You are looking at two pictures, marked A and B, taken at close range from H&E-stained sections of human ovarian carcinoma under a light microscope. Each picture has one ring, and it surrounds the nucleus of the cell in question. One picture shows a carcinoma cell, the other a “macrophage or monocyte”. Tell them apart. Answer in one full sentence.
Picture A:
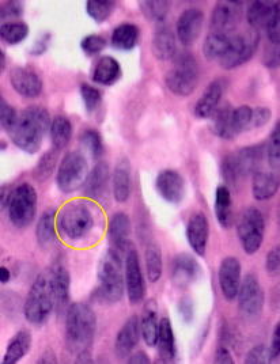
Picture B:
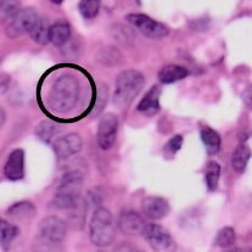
In picture A the cell is a “macrophage or monocyte”; in picture B, a carcinoma cell.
